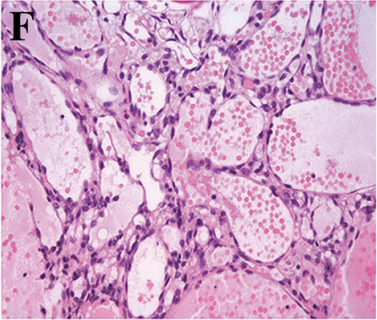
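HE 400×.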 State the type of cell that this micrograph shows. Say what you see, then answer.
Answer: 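Closely packed channels packed with red blood cells. Channels are lined by cells with dark oval nuclei. The answer: proliferated endothelial cells.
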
